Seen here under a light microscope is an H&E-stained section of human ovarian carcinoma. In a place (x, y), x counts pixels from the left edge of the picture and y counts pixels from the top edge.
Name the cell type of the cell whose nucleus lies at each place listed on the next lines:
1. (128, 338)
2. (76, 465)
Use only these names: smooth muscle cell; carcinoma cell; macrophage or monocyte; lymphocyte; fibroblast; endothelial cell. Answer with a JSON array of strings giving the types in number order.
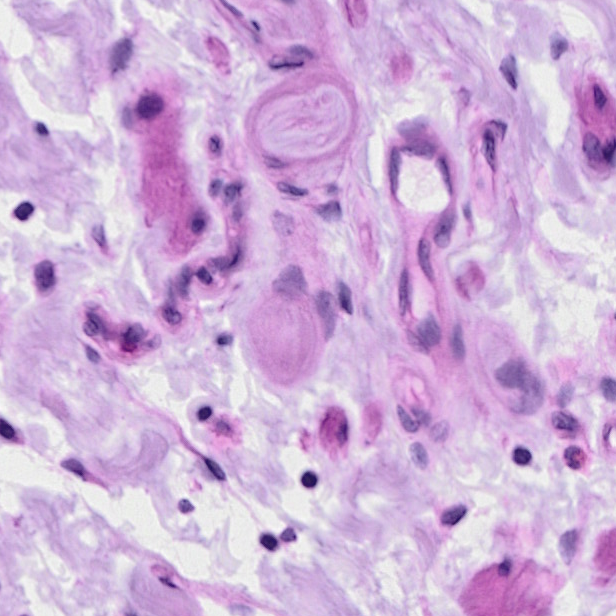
["endothelial cell", "fibroblast"]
